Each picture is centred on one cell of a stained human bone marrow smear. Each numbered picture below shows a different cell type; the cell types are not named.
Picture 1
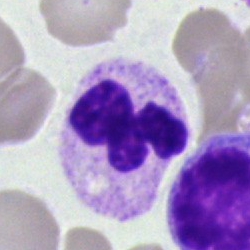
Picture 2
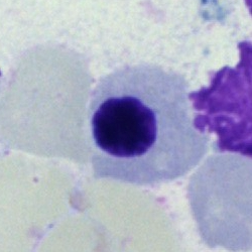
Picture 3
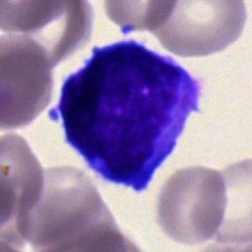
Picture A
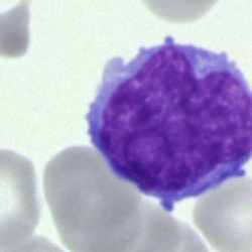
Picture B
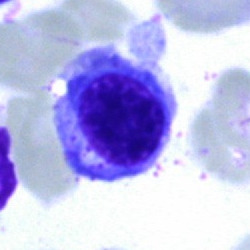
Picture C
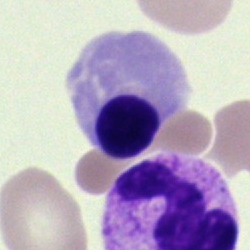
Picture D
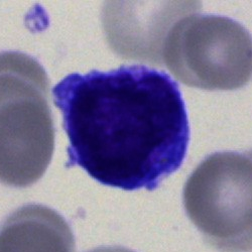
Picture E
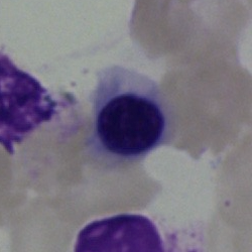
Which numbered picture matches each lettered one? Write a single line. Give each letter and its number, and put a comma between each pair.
A 3, B 2, C 2, D 3, E 2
